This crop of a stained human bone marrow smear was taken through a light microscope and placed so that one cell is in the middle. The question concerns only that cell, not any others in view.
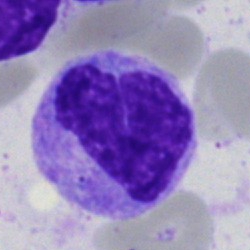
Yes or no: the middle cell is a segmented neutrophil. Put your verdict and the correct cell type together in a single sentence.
No, the central cell is a monocyte, not a segmented neutrophil.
